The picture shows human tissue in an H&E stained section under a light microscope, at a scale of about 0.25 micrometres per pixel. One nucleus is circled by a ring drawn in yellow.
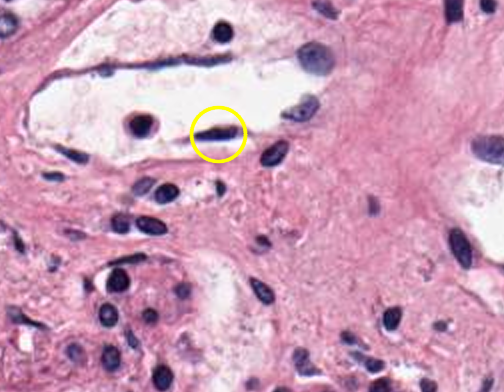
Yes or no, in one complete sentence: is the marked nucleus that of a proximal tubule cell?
No, the marked nucleus is not housed in a proximal tubule cell but in a supporting cell.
